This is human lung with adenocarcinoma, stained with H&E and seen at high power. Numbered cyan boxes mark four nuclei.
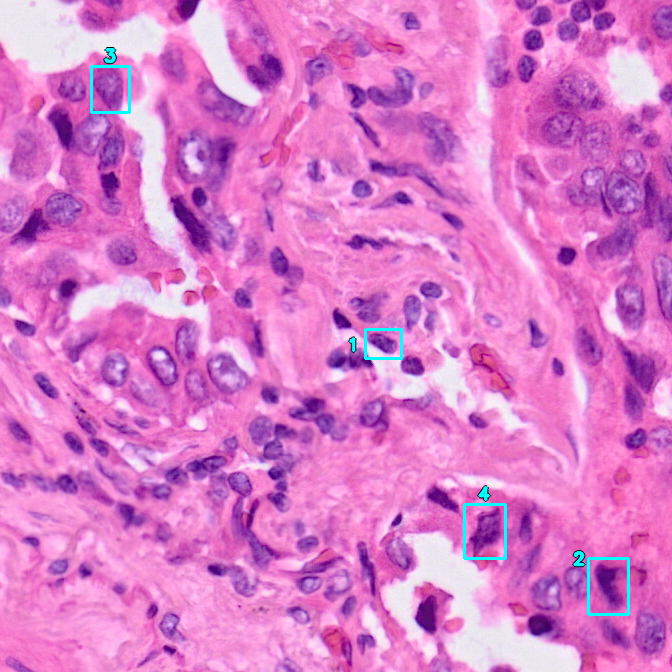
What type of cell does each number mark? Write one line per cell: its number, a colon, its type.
1: lymphocyte
2: carcinoma cell
3: carcinoma cell
4: carcinoma cell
